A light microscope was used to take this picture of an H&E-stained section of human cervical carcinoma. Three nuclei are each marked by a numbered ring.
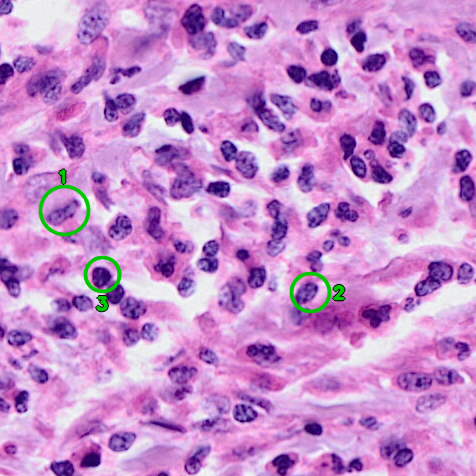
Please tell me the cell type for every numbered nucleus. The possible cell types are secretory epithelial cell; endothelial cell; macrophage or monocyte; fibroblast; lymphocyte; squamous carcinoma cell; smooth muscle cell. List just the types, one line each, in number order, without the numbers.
macrophage or monocyte
lymphocyte
lymphocyte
